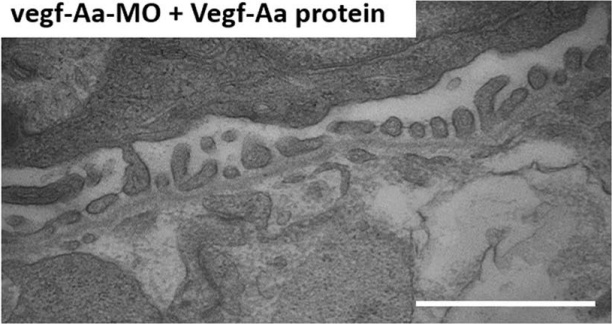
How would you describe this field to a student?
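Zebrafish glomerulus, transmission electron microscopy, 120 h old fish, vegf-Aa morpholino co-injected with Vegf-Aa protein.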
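Across the middle of the field a thin basement membrane is lined on one side by a row of many small, rounded and elongated foot process profiles, separated by pale clefts and surrounded by light urinary space. Larger dark podocyte cell bodies and broad cytoplasm lie above, while grey cytoplasm and pale irregular spaces lie on the far side of the membrane.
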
